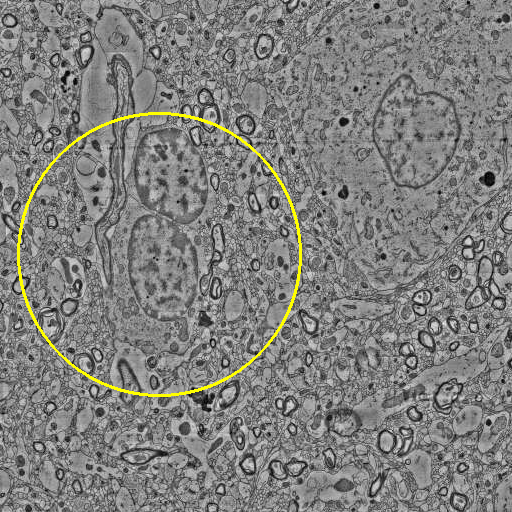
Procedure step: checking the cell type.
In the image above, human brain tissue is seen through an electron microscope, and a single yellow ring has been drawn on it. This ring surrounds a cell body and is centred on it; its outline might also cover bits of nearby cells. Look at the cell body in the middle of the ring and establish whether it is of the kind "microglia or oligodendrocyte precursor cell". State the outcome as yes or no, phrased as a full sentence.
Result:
No, the cell body at the ring's centre in the image is of another kind.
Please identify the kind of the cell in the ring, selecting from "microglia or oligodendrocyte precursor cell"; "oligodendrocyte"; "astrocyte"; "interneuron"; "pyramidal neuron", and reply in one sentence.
Instead, the ring in this picture marks an oligodendrocyte.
